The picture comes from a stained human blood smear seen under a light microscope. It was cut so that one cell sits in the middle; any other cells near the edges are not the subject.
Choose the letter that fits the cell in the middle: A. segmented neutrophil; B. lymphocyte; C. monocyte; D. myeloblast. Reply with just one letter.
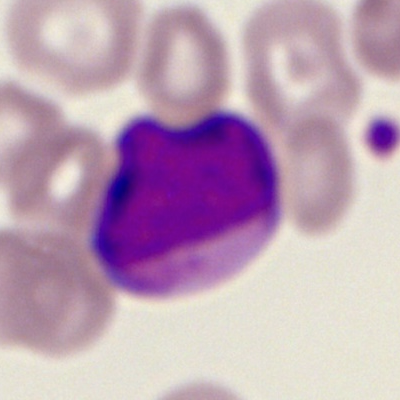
D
